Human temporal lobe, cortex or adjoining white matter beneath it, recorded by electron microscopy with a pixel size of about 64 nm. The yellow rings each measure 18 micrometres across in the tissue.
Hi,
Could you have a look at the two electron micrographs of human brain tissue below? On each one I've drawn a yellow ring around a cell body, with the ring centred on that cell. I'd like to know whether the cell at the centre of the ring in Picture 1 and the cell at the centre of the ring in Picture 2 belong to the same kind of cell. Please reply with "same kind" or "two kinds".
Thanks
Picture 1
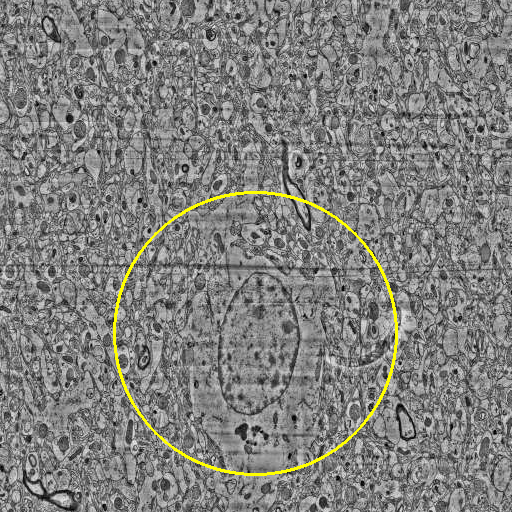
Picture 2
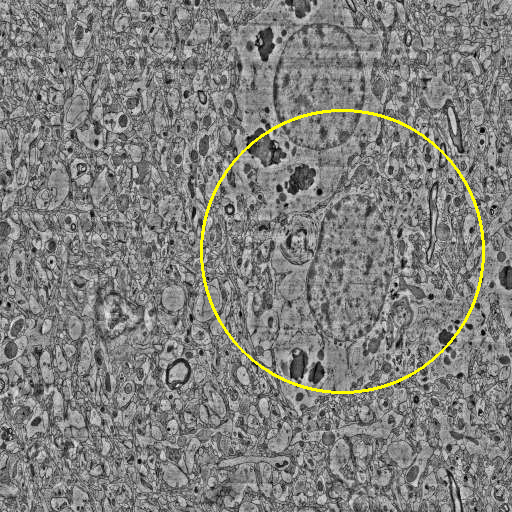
same kind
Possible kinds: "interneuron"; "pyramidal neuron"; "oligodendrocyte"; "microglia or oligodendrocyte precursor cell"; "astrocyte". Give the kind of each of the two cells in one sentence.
Each of the two pictures has an astrocyte at the ring centre.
